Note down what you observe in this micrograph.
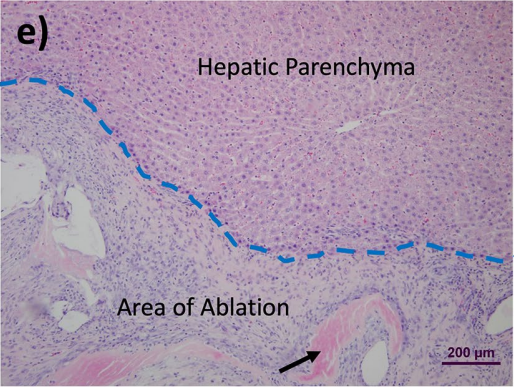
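In the upper part the hepatocytes are large polygonal cells with pink cytoplasm and round central nuclei, arranged in cords separated by narrow sinusoids. Below the dashed border the picture changes: the zone is crowded with small, dark-staining nuclei of many shapes, round ones of inflammatory cells and macrophages and elongated spindle-shaped ones of fibroblasts, lying in a paler pink matrix with small vessels and clear spaces. Scattered through this cellular zone are strands of bright pink, structureless material, the leftover dead tissue being cleared.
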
